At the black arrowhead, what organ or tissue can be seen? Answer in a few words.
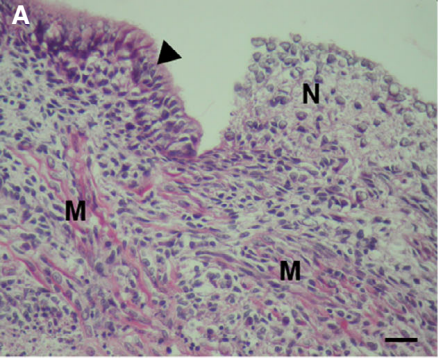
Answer: Pseudostratified columnar epithelium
